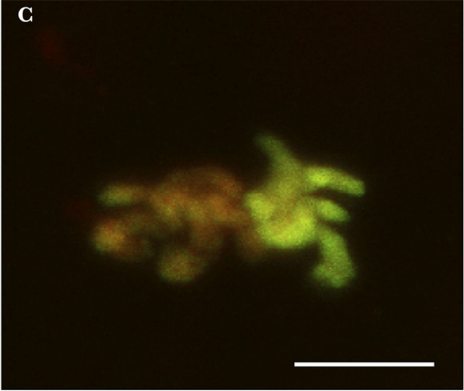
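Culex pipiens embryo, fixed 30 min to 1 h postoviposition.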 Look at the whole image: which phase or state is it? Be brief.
condensed chromatin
